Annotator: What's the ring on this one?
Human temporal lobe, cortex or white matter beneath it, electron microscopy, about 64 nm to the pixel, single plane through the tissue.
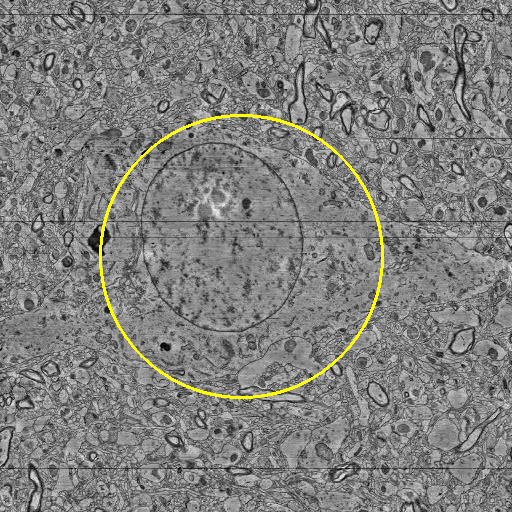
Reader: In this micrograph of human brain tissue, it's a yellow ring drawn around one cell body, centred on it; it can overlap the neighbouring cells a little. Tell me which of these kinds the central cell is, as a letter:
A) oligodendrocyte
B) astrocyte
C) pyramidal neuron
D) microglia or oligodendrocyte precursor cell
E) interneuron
C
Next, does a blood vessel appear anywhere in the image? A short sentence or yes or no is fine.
No.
